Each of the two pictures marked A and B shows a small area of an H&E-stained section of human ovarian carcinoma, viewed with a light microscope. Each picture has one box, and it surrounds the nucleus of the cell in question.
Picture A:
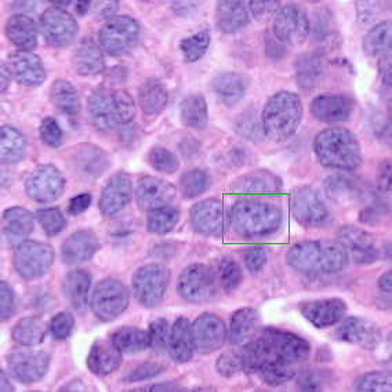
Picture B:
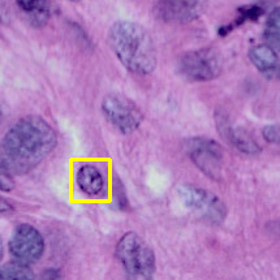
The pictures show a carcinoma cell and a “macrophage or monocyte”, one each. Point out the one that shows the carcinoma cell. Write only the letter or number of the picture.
A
